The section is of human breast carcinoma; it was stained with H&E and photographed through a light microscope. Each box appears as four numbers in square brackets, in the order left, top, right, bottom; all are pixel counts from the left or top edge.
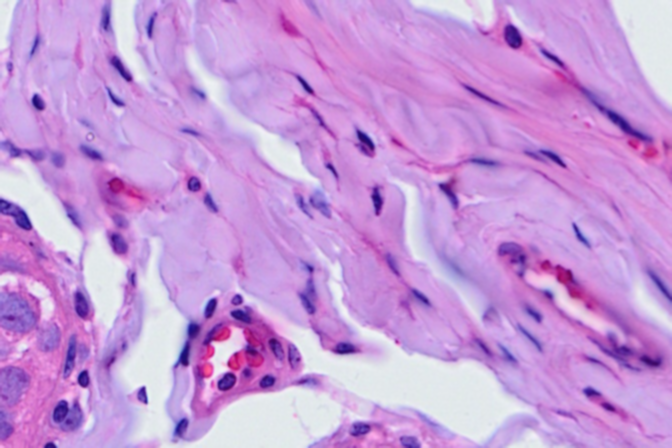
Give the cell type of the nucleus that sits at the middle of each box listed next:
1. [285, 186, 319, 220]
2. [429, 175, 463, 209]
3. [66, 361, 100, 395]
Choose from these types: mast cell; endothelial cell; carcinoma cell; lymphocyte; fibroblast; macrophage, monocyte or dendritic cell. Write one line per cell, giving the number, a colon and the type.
1: fibroblast
2: fibroblast
3: lymphocyte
